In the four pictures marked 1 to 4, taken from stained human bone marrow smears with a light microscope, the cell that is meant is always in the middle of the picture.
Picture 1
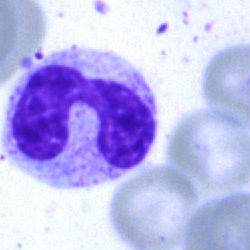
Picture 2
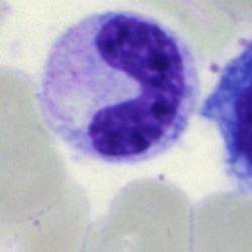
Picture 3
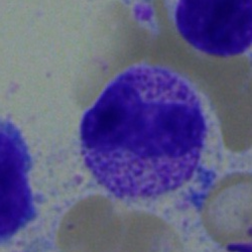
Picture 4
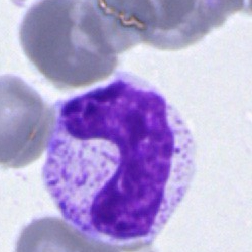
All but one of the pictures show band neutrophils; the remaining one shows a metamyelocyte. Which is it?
3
